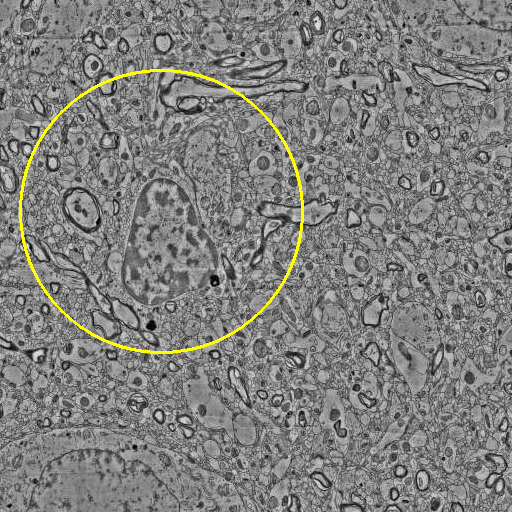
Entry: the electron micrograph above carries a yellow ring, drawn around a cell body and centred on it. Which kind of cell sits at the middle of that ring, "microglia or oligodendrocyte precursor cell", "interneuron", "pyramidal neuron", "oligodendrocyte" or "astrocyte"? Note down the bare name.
microglia or oligodendrocyte precursor cell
